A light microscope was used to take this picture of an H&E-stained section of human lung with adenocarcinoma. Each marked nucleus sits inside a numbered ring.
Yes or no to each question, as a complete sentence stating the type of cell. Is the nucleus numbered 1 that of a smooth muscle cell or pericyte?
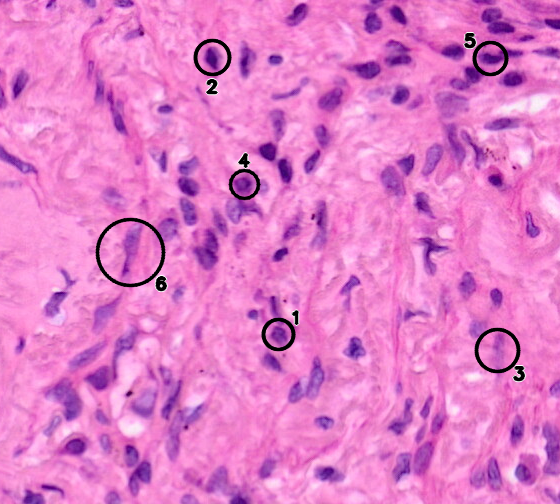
No, what is marked as number 1 is a plasma cell rather than a smooth muscle cell or pericyte.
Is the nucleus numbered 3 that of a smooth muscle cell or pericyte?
Yes, the cell carrying number 3 is a smooth muscle cell or pericyte.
